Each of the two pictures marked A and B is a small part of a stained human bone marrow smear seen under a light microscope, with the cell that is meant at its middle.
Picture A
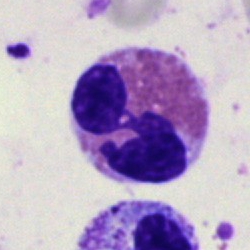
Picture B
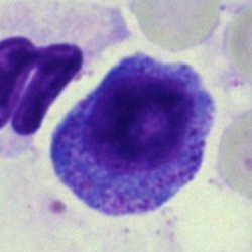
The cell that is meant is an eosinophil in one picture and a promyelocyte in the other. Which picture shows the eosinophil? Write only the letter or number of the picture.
A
